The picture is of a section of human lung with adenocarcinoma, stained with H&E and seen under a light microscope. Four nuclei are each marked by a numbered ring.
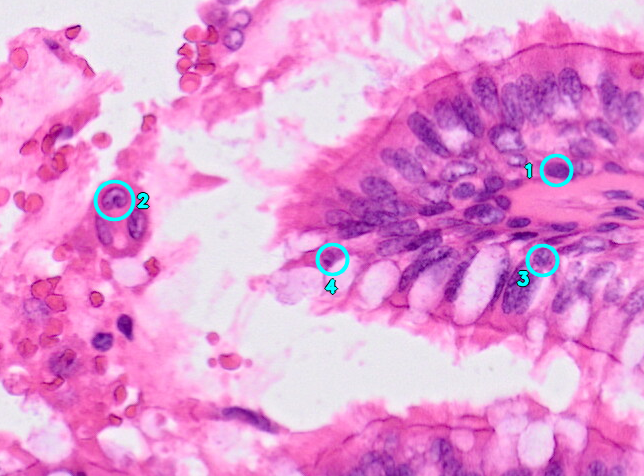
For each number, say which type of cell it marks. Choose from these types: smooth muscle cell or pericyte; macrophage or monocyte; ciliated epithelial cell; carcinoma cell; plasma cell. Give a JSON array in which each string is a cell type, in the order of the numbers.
["ciliated epithelial cell", "macrophage or monocyte", "ciliated epithelial cell", "ciliated epithelial cell"]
